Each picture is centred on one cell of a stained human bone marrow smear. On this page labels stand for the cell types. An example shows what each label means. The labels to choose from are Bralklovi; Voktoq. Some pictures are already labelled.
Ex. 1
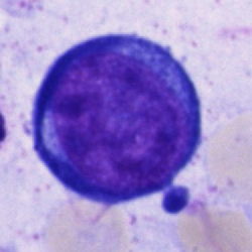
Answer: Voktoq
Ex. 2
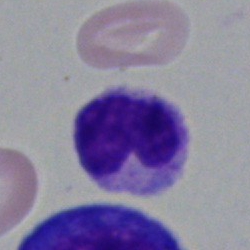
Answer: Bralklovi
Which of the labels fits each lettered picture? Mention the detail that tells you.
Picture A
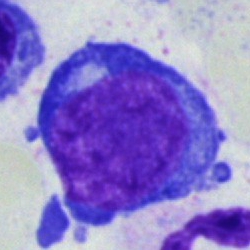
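Label: Voktoq. The chromatin looks finely granular rather than coarsely clumped.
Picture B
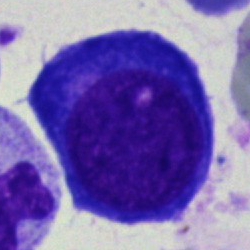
Label: Voktoq. The chromatin is finely granular rather than coarsely clumped.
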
